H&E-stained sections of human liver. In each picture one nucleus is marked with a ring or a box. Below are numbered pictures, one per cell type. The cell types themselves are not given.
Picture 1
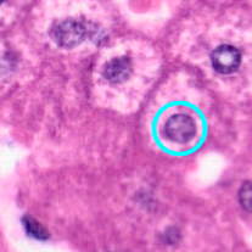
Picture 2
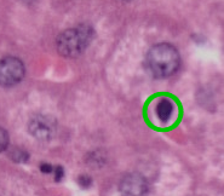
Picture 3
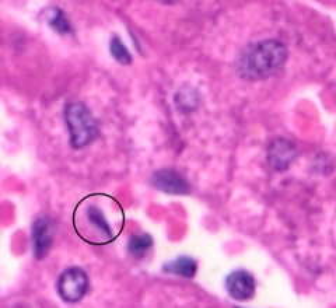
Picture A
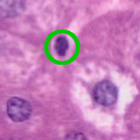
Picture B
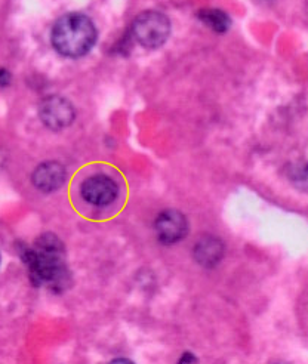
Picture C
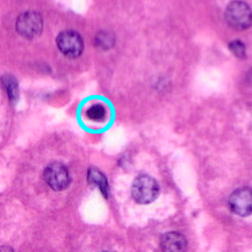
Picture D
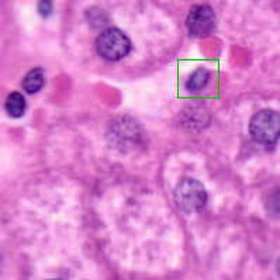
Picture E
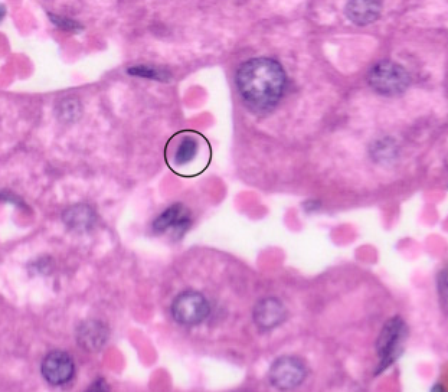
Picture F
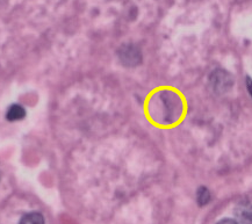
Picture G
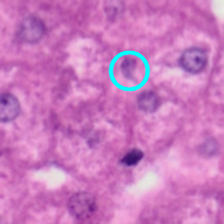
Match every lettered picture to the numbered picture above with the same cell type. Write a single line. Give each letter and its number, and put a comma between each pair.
A 2, B 1, C 2, D 2, E 2, F 3, G 3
